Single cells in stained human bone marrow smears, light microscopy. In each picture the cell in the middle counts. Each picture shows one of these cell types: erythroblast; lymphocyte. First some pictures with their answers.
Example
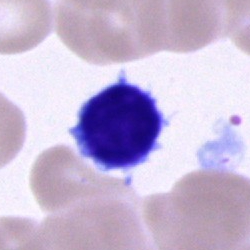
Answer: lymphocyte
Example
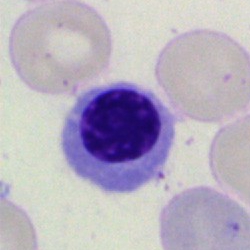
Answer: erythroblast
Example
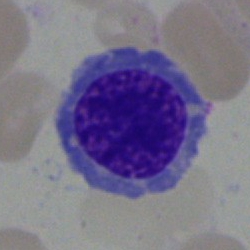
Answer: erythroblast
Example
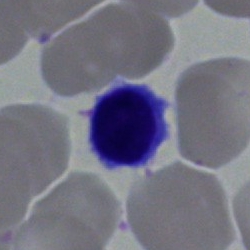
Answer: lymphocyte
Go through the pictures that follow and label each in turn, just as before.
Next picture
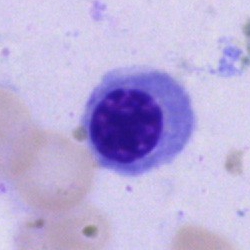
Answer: erythroblast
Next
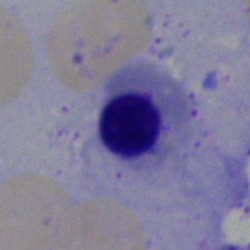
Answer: erythroblast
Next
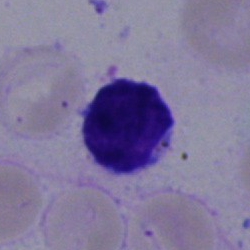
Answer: lymphocyte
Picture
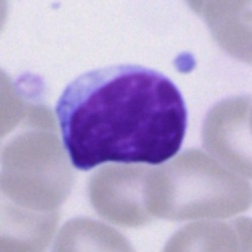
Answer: lymphocyte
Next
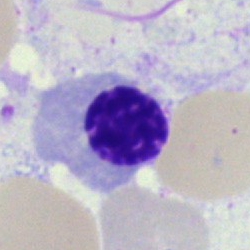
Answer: erythroblast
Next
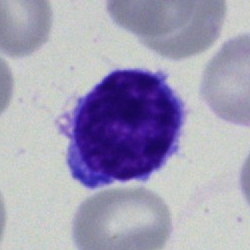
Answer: lymphocyte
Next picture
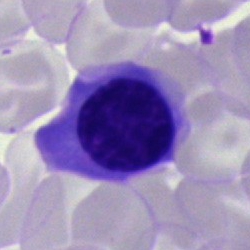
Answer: erythroblast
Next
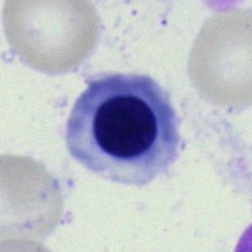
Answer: erythroblast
